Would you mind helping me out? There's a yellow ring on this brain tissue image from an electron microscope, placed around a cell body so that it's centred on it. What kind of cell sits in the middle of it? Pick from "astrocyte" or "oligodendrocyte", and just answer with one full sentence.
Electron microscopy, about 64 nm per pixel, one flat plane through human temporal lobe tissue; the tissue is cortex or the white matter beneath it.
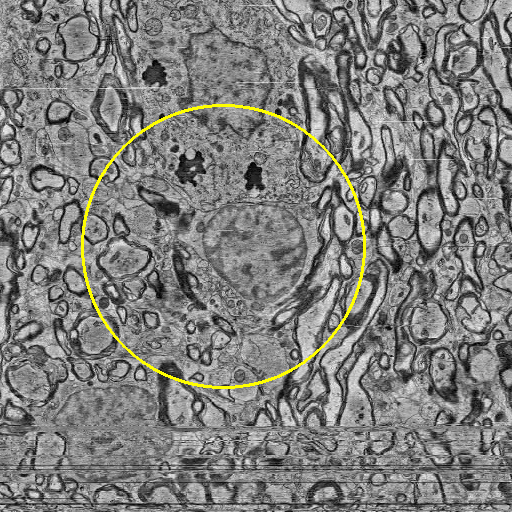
What sits in the middle of that yellow ring is an oligodendrocyte, from your choices.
